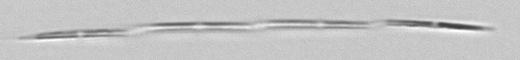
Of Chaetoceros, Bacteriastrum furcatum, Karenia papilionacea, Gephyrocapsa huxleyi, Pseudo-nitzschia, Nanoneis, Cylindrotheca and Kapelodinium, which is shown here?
Pseudo-nitzschia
